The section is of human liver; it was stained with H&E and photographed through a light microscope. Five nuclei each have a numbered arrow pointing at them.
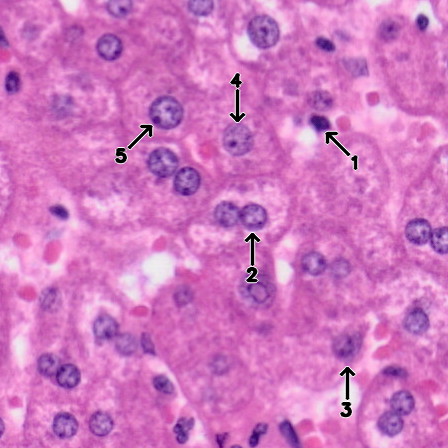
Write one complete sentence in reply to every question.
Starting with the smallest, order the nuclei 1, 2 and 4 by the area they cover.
The order from the smallest nucleus to the largest is 1, 2, 4.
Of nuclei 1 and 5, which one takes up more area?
Number 5 is larger; its area is about 2.5 times that of number 1.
